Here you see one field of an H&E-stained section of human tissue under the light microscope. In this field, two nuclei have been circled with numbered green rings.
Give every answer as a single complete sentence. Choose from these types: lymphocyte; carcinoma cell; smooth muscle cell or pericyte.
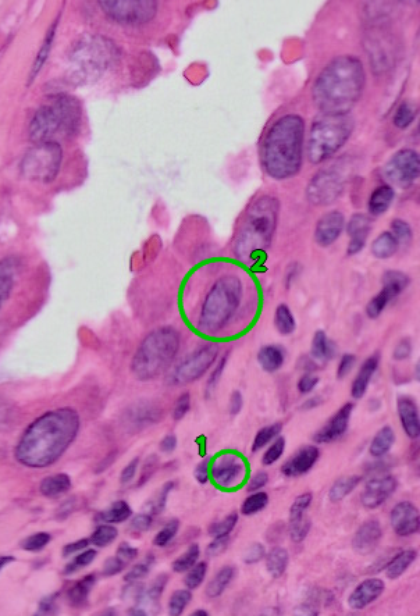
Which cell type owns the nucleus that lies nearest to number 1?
The cell nearest to number 1 is a lymphocyte.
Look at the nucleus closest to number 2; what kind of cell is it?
Number 2 lies closest to the nucleus of a carcinoma cell.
